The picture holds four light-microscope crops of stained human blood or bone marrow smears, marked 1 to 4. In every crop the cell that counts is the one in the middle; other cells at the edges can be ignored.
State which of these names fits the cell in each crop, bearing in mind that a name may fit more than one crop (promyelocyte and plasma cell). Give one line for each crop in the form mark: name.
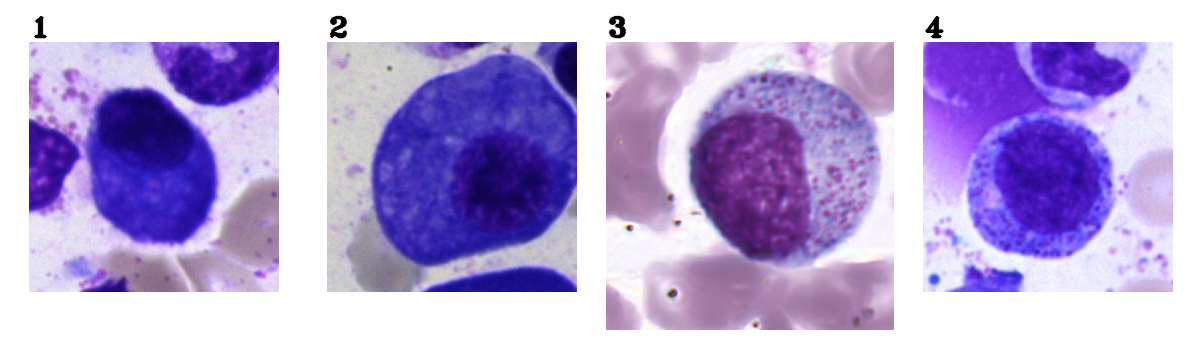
1: plasma cell
2: plasma cell
3: promyelocyte
4: promyelocyte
